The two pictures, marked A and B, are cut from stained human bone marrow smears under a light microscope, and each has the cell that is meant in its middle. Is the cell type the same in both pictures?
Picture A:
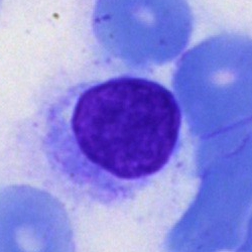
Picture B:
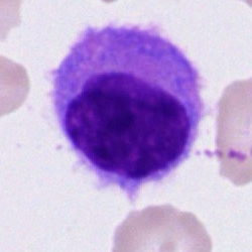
yes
